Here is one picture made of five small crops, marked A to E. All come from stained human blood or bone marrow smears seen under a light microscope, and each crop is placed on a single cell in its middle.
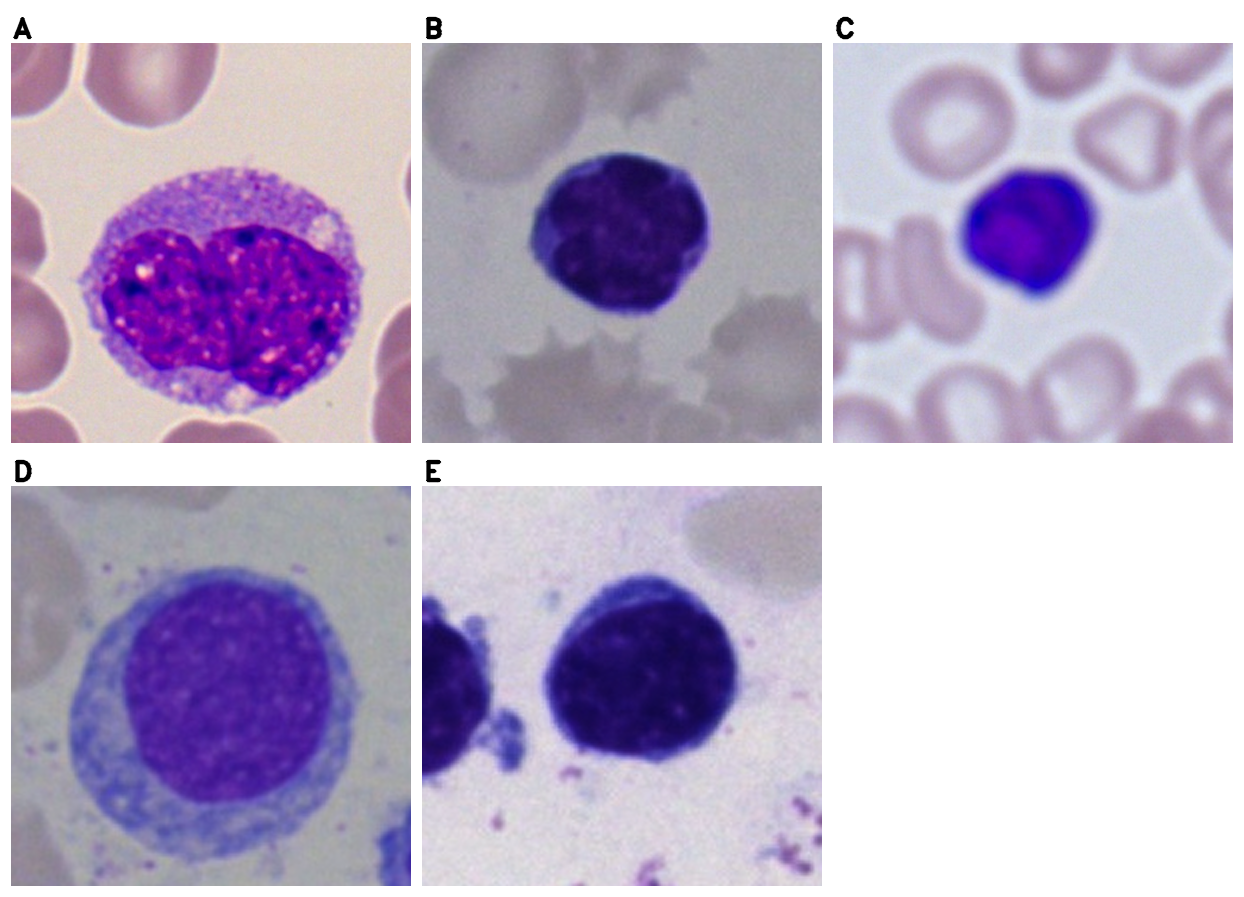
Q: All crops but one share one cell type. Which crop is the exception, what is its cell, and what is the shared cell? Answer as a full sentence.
Shown in crop A is a monocyte, in contrast to the lymphocytes of all the other crops.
